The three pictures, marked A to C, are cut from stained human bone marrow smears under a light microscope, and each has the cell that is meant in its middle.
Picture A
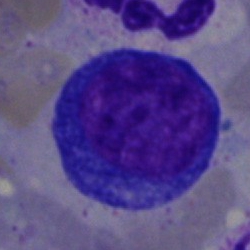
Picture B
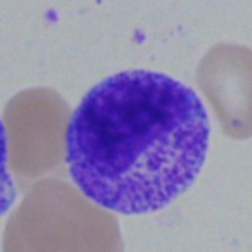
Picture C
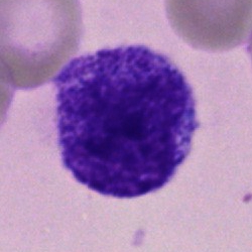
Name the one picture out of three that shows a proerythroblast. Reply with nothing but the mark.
A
